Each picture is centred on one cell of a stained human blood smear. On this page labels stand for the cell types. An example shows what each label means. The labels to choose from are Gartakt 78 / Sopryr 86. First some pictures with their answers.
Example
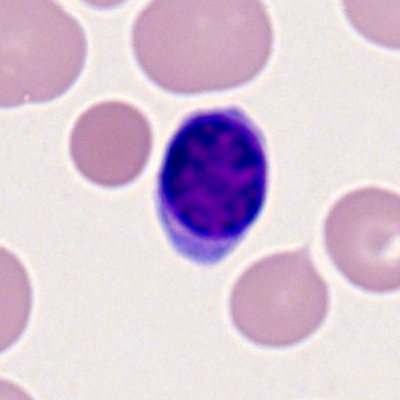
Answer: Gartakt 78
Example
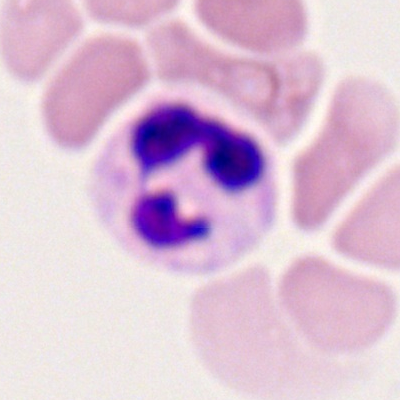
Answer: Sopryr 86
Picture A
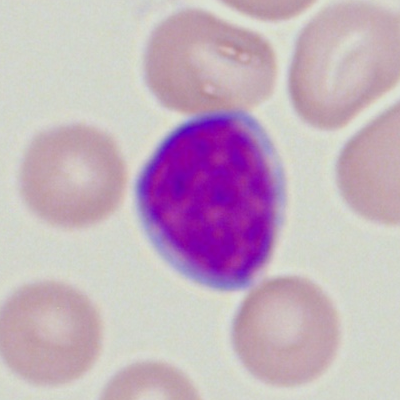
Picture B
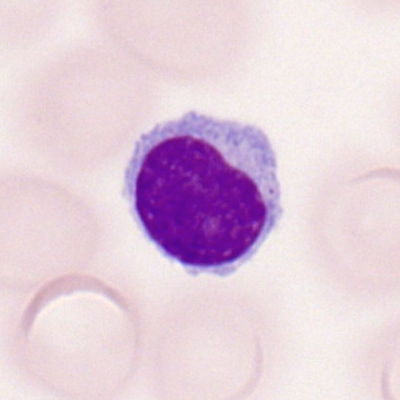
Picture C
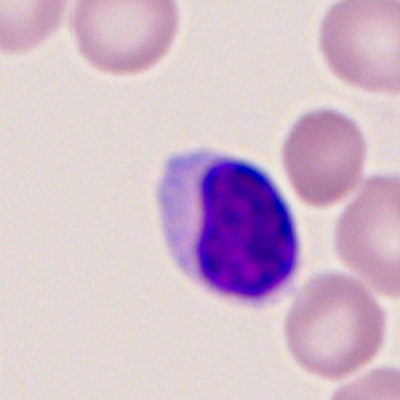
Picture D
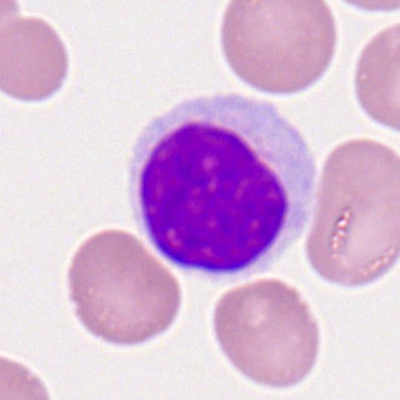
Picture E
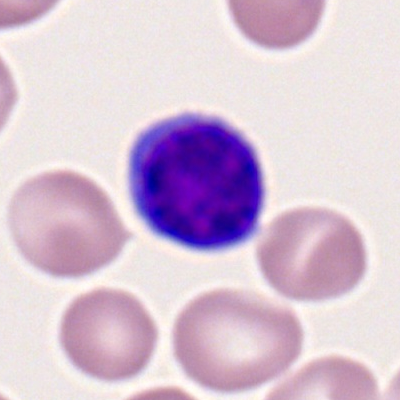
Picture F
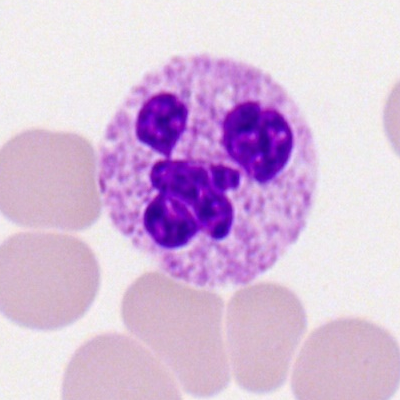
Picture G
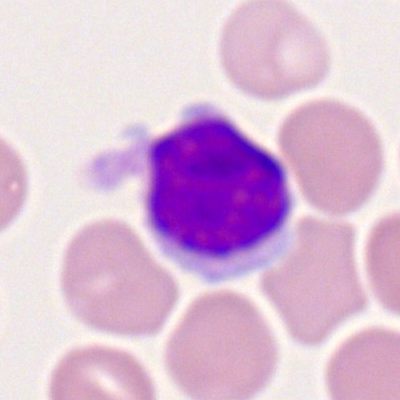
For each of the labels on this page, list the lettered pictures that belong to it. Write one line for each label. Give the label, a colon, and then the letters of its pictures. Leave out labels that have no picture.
Gartakt 78: A, B, C, D, E, G
Sopryr 86: F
